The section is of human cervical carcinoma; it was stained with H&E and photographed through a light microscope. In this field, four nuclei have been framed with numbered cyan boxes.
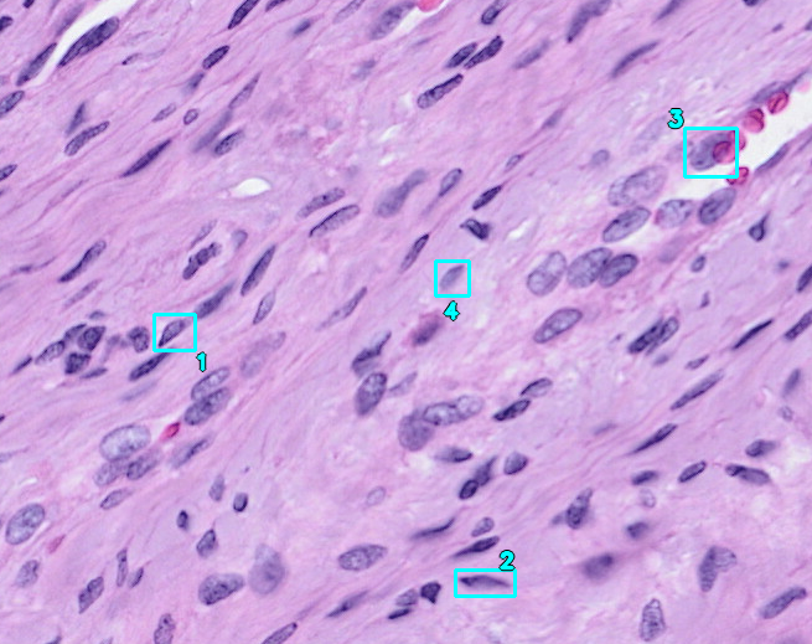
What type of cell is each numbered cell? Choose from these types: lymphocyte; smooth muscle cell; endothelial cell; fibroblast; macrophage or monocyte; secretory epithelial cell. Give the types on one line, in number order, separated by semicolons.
fibroblast; fibroblast; endothelial cell; fibroblast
